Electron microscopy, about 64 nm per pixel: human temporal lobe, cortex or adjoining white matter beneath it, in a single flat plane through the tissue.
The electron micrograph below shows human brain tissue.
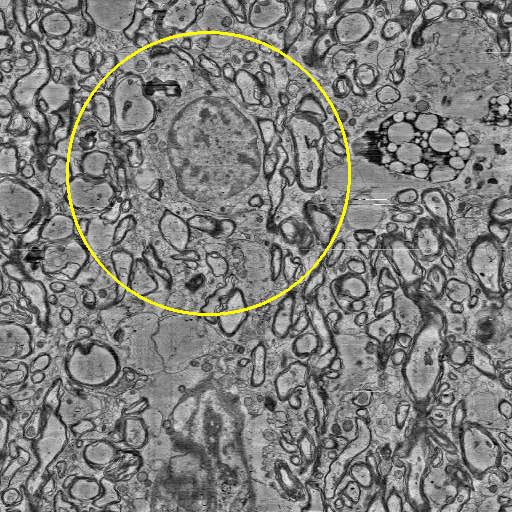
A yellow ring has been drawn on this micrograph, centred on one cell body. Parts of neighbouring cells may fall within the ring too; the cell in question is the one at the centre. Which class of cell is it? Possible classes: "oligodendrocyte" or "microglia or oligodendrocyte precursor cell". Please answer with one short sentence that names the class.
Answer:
In the centre of the ring sits an oligodendrocyte.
